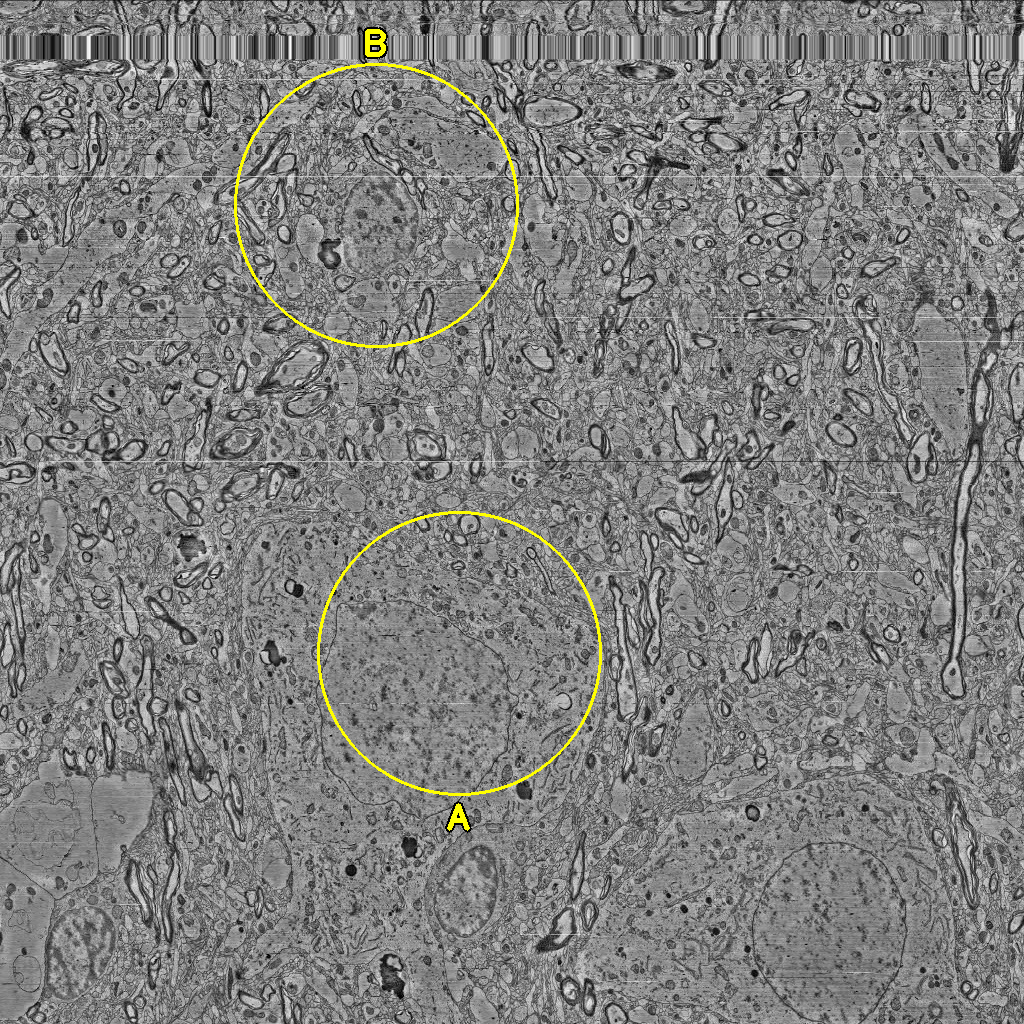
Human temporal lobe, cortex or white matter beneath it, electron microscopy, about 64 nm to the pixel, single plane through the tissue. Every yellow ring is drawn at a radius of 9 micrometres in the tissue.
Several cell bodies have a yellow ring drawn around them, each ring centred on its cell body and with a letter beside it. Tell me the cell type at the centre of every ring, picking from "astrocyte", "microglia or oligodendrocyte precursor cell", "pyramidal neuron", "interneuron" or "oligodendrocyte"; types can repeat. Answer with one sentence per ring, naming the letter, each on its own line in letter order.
In ring A, the central cell is a pyramidal neuron.
In ring B, the central cell is an oligodendrocyte.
